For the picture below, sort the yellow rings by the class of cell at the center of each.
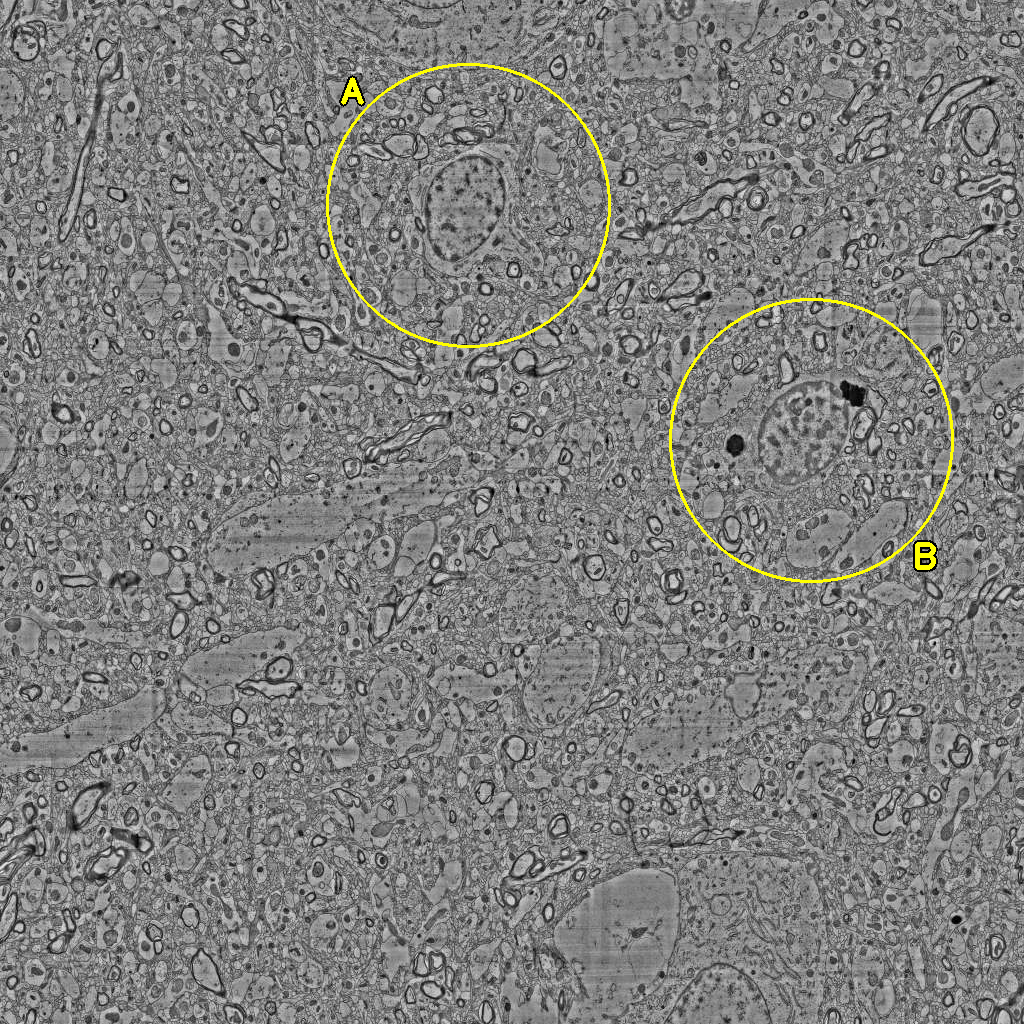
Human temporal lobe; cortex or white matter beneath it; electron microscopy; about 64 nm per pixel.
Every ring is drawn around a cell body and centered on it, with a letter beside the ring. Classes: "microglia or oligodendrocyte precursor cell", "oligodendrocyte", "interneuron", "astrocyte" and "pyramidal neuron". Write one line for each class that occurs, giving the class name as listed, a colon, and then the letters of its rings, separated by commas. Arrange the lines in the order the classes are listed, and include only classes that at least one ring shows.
microglia or oligodendrocyte precursor cell: A
oligodendrocyte: B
